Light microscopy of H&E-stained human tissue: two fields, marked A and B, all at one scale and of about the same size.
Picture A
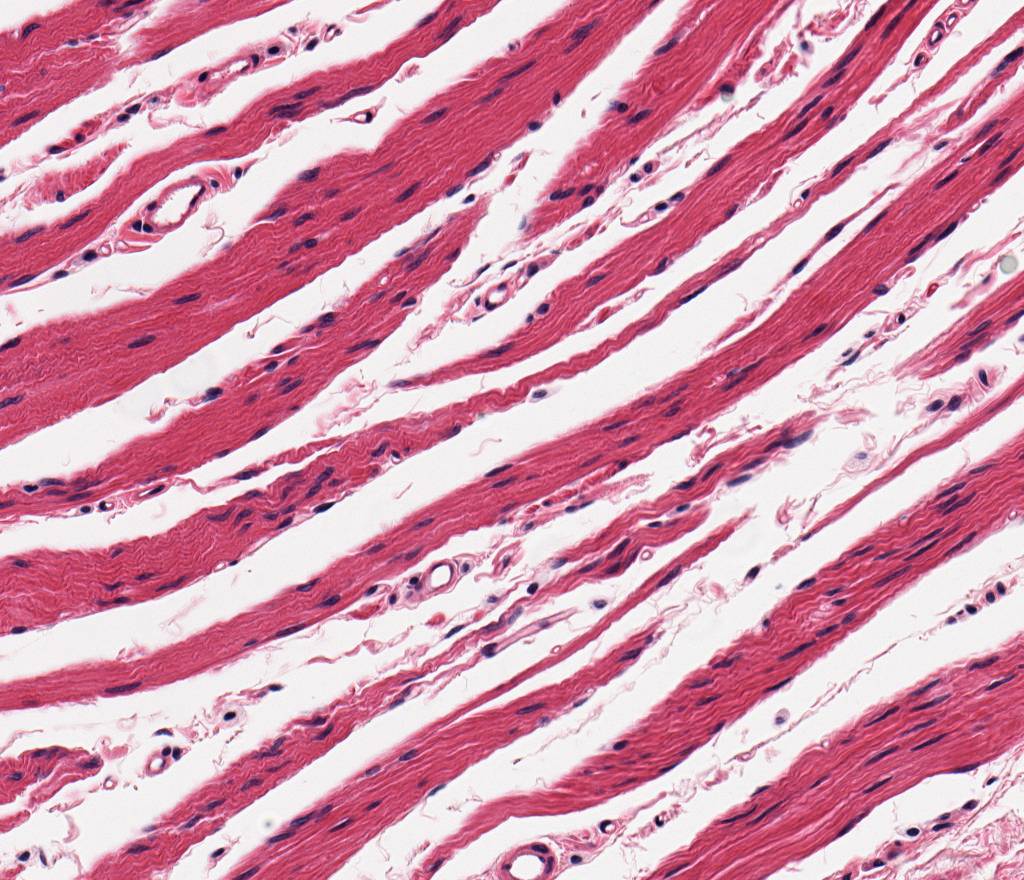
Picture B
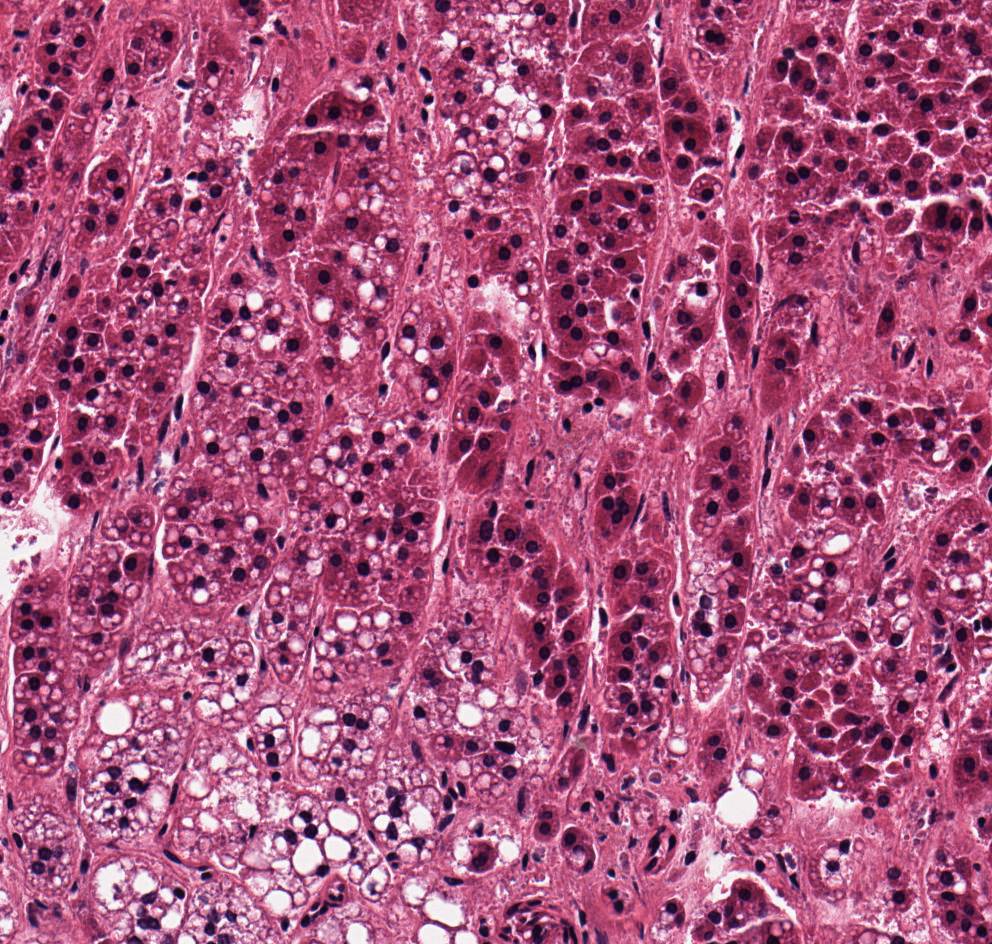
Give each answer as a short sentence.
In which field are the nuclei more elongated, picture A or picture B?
On the whole the nuclei of picture A are more drawn out than those of picture B.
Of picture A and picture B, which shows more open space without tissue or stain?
Picture A has more white space.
